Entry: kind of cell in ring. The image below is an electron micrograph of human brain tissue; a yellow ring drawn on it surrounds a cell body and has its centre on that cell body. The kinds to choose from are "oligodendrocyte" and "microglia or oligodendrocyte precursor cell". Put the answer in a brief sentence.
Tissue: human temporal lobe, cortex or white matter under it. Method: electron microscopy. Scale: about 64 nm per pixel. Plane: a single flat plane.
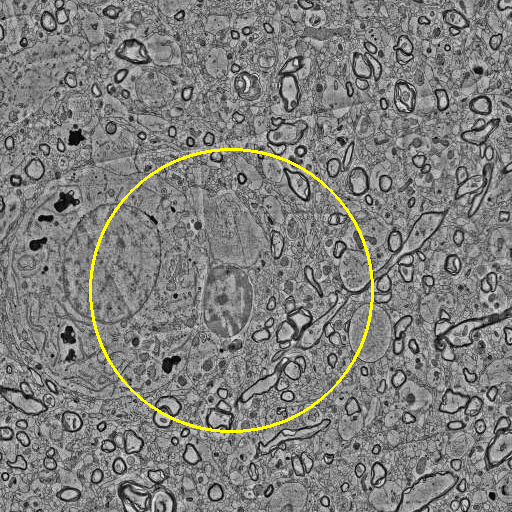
The ring has been drawn around a microglial cell or oligodendrocyte precursor cell.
